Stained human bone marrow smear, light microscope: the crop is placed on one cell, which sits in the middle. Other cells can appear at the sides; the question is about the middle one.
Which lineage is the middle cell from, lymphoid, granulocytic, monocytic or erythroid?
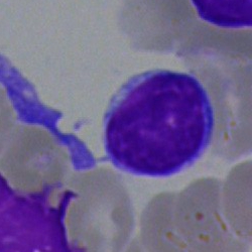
lymphoid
